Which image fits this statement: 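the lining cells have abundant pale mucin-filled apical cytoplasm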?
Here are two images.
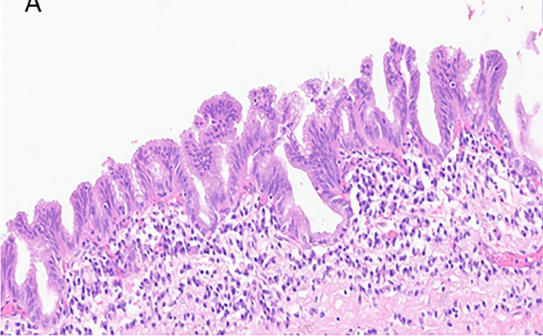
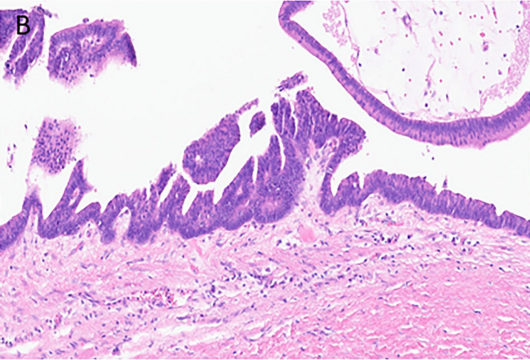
The first image.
